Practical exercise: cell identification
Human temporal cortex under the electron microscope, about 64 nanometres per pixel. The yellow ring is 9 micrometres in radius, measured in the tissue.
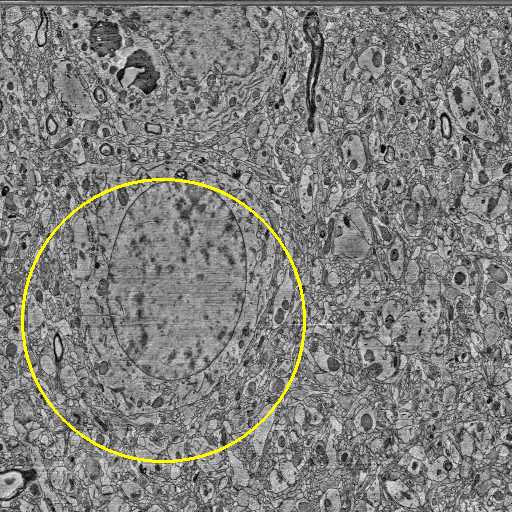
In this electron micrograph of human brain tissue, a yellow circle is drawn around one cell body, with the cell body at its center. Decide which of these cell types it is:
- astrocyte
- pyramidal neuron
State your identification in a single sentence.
The ringed cell is a pyramidal neuron.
